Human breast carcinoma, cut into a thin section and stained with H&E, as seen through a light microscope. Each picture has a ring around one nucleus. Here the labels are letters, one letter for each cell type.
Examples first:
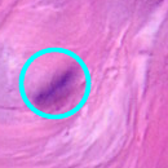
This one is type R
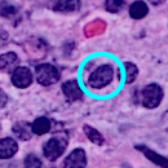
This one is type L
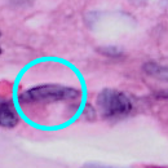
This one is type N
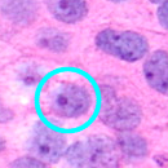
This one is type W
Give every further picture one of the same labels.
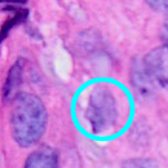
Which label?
type W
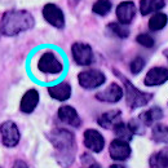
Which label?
type L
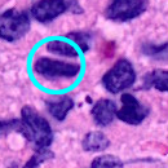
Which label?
type W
